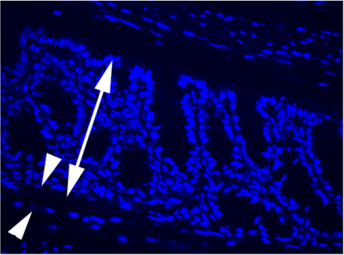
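This is a section of colon wall seen only by its blue-stained nuclei, with the mucosa made of regular, parallel crypts whose lining cells form rows of tightly packed nuclei. Beneath the crypt layer runs a thin, sparsely nucleated submucosa, and beyond it elongated, spindle-shaped nuclei lie in a band along the outer wall.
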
